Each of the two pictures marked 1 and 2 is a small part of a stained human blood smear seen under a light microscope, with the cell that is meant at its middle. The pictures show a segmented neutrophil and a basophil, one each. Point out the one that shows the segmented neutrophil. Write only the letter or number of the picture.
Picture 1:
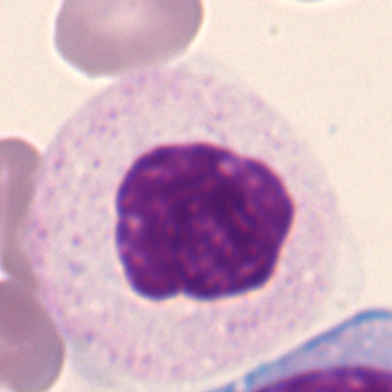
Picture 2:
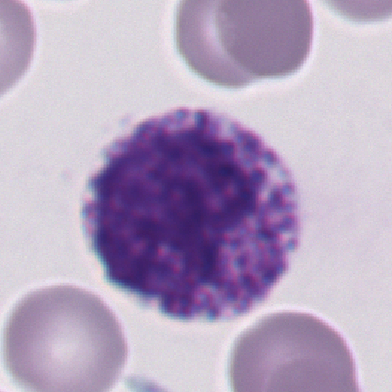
1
